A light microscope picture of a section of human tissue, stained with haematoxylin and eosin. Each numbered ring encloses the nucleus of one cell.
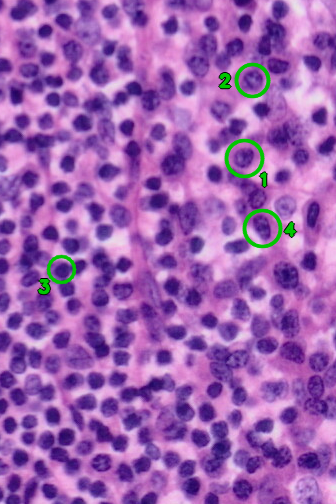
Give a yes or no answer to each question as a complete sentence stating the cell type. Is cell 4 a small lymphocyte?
No, cell 4 is not a small lymphocyte, but is instead a plasma cell.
